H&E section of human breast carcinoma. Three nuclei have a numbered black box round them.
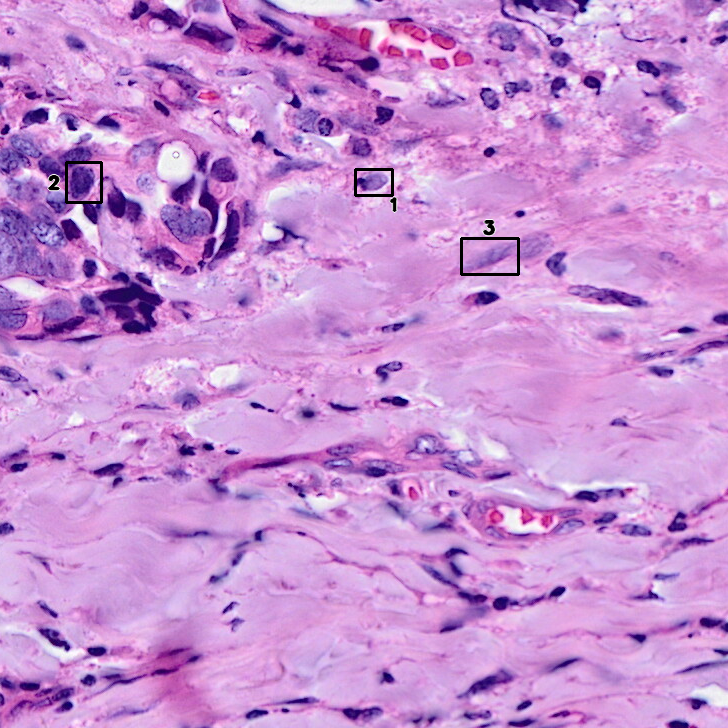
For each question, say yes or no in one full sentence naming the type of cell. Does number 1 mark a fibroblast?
No, not a fibroblast: the cell with number 1 is a macrophage, monocyte or dendritic cell.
